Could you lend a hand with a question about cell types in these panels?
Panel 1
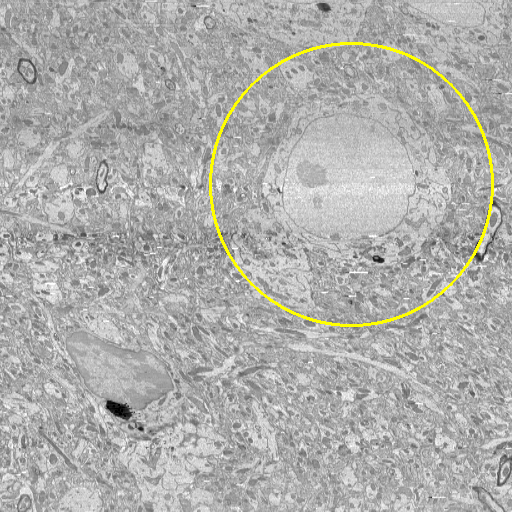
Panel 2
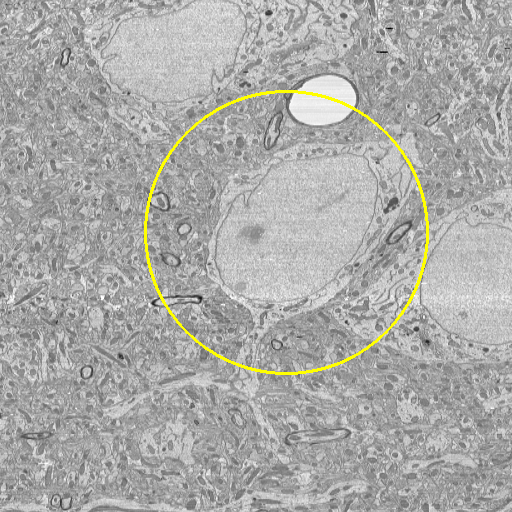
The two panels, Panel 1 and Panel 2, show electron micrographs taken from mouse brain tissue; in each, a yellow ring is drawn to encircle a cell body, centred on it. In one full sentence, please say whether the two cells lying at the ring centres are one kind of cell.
No, the cells at the ring centres in the two panels are two kinds of cell.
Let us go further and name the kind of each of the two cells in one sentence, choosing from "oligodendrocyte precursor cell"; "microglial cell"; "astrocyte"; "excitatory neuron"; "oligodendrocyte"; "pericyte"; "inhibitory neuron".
The ring of the first picture is on an excitatory neuron, the ring of the second on an inhibitory neuron.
